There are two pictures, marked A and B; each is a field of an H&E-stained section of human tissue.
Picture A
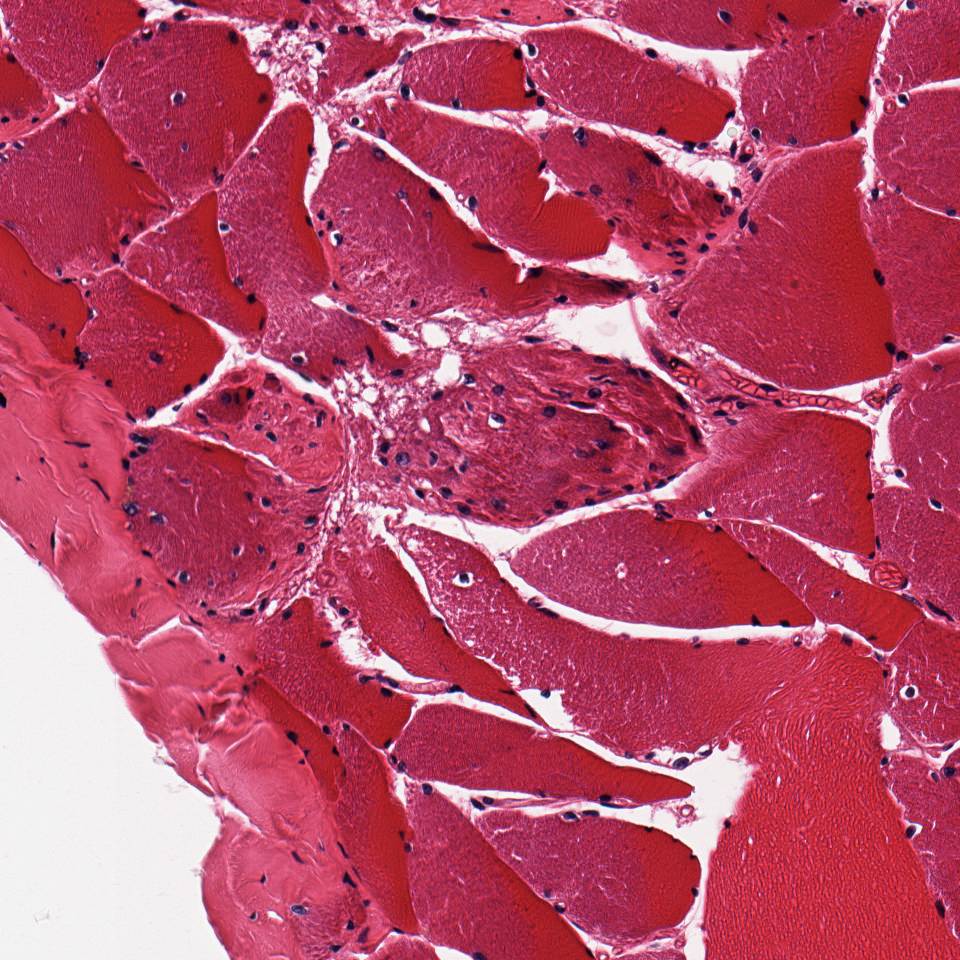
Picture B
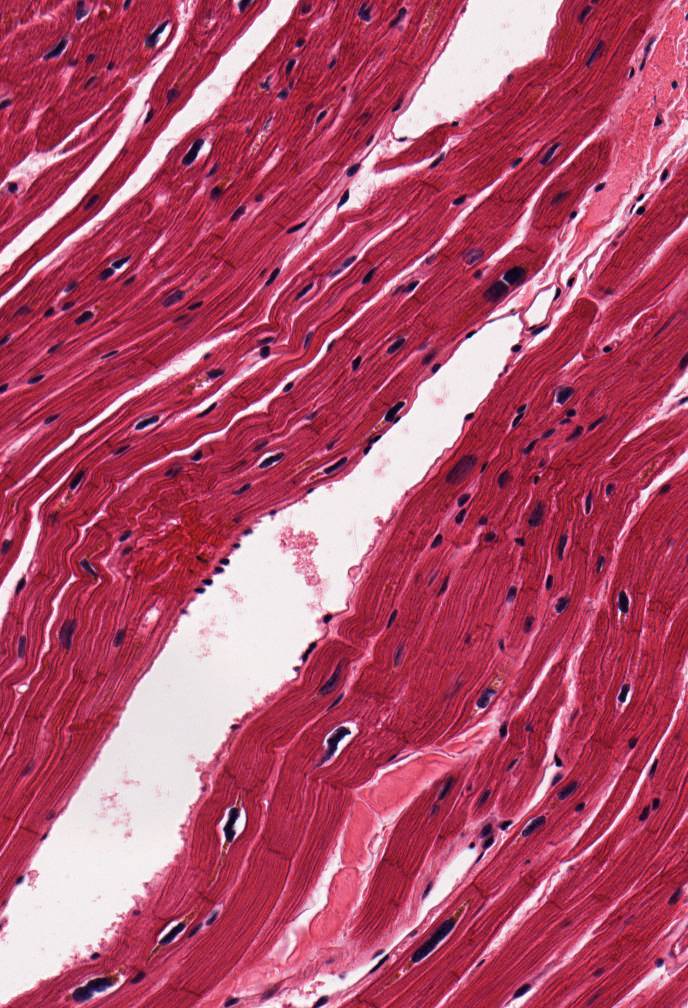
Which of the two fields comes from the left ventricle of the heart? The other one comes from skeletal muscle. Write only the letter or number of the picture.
B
